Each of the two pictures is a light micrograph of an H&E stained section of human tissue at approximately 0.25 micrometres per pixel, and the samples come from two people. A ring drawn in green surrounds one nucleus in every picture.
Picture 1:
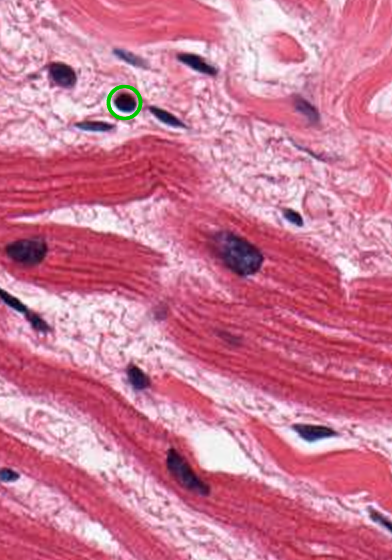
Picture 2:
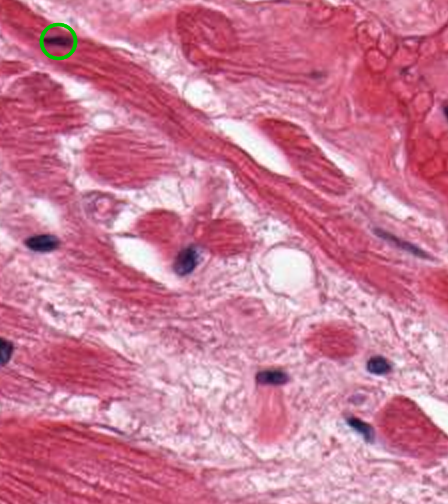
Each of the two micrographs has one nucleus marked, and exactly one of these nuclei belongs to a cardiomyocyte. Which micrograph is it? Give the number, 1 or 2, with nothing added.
2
